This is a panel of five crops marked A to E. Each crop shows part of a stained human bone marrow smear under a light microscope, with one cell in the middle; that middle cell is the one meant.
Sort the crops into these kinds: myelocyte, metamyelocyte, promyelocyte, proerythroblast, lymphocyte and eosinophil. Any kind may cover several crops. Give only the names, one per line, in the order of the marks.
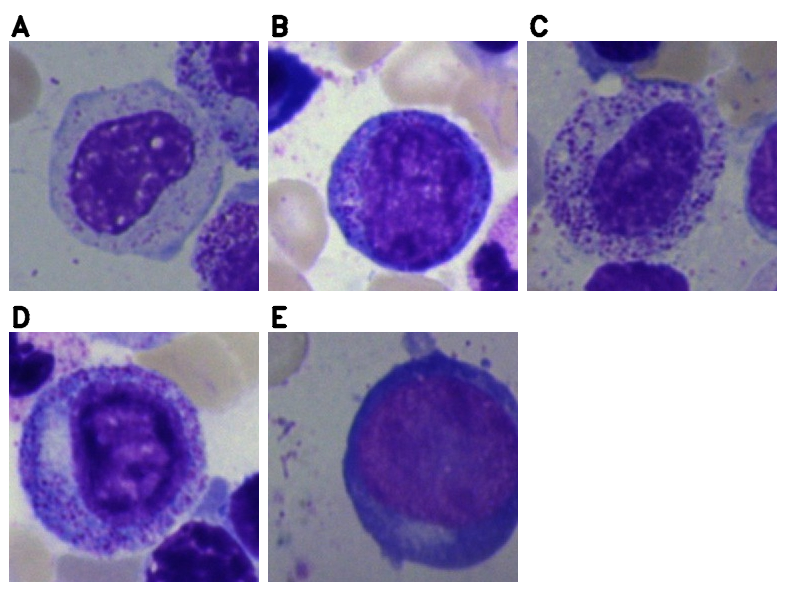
metamyelocyte
promyelocyte
myelocyte
promyelocyte
proerythroblast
